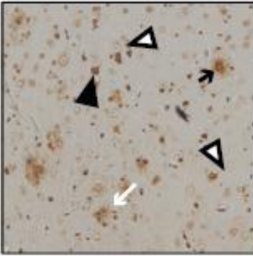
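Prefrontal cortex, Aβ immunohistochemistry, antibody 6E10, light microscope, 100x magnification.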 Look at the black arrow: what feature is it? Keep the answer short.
Dense core plaques with halo.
